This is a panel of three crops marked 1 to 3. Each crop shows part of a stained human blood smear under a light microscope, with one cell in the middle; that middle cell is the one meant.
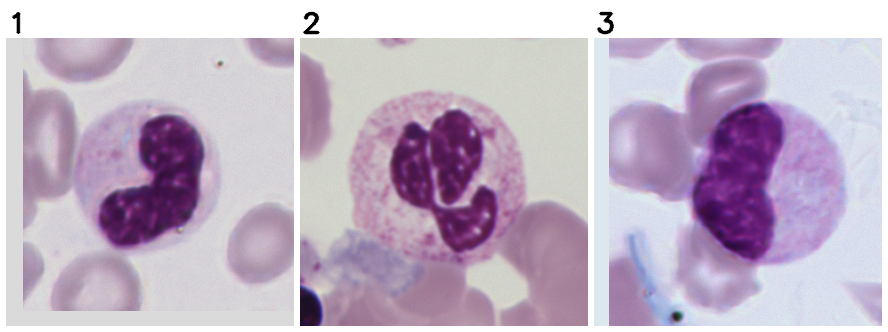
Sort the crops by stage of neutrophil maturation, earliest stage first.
3, 1, 2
